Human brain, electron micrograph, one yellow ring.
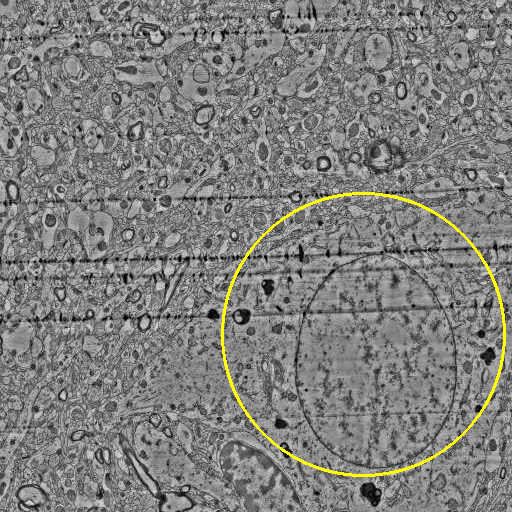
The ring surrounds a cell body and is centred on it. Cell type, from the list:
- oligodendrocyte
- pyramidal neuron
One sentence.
The yellow ring circles a pyramidal neuron.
